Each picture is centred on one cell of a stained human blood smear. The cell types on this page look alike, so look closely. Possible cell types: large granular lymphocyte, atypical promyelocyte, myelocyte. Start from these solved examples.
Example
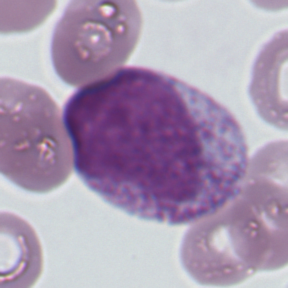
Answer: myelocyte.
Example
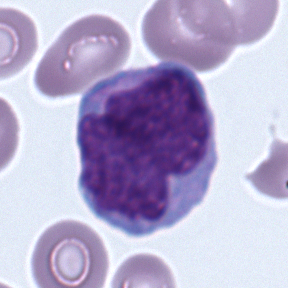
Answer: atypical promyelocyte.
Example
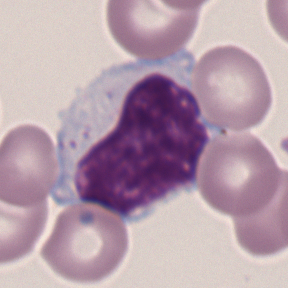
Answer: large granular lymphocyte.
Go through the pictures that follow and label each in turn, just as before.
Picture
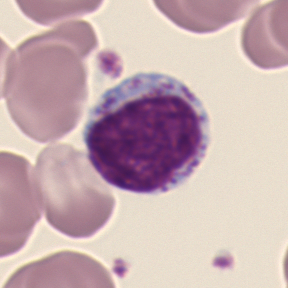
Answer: large granular lymphocyte.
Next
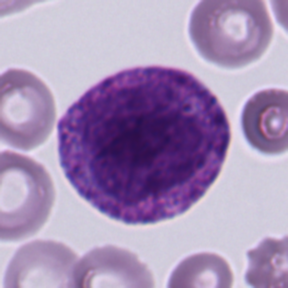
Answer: atypical promyelocyte.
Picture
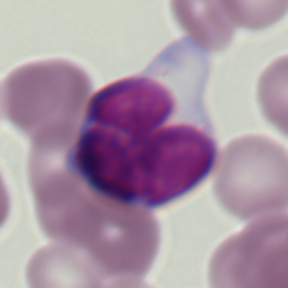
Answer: large granular lymphocyte.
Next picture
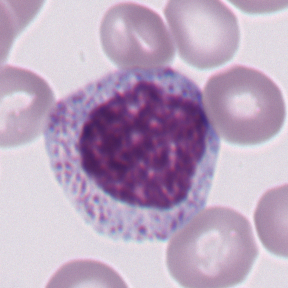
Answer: myelocyte.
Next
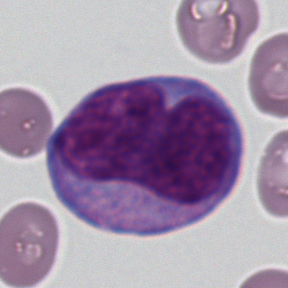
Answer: atypical promyelocyte.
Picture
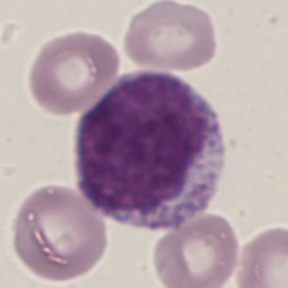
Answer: myelocyte.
